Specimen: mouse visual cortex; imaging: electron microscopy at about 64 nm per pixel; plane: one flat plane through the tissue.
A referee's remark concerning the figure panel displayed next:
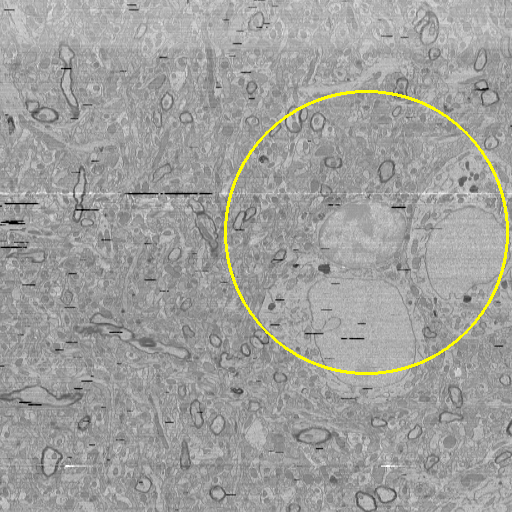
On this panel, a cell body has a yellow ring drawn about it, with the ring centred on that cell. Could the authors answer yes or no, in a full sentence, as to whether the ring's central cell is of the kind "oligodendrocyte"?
Yes, the cell sitting at the middle of the ring on this panel belongs to that kind.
